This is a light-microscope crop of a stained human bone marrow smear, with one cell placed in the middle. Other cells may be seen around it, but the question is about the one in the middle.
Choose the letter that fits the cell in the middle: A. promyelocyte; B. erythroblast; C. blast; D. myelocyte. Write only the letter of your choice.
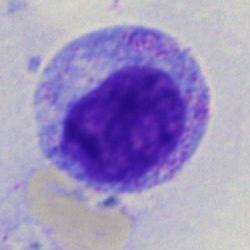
D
